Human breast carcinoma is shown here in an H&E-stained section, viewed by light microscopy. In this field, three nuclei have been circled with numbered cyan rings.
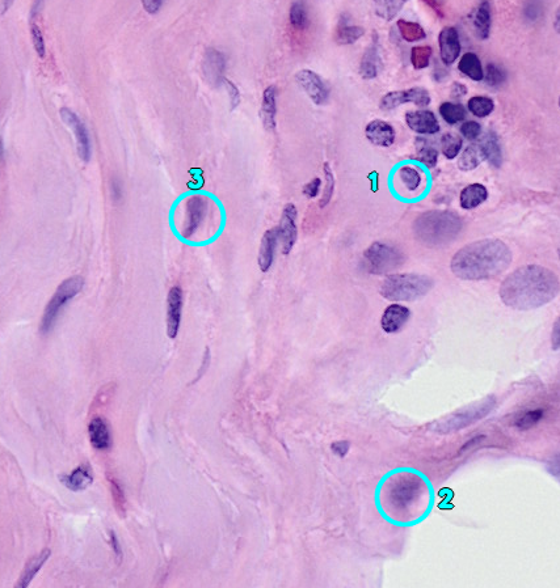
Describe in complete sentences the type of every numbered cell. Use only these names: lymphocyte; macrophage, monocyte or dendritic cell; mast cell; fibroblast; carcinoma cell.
Cell 1 is a lymphocyte. Cells 2 and 3 are fibroblasts.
